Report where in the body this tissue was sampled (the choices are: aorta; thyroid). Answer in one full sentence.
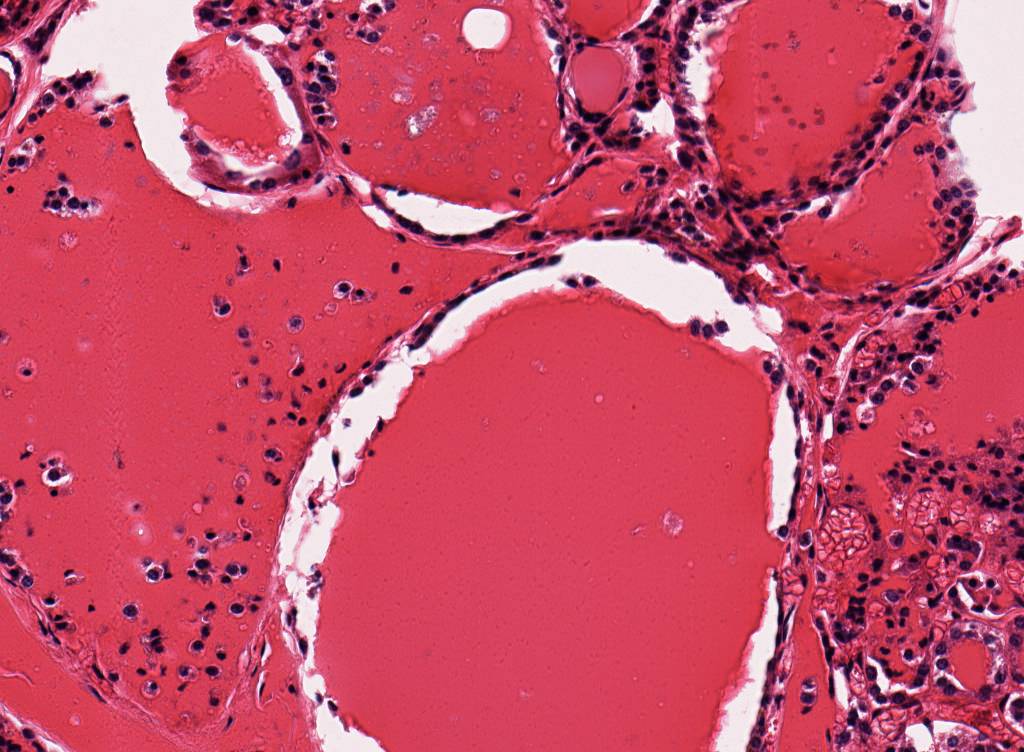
The tissue shown was sampled from the thyroid.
